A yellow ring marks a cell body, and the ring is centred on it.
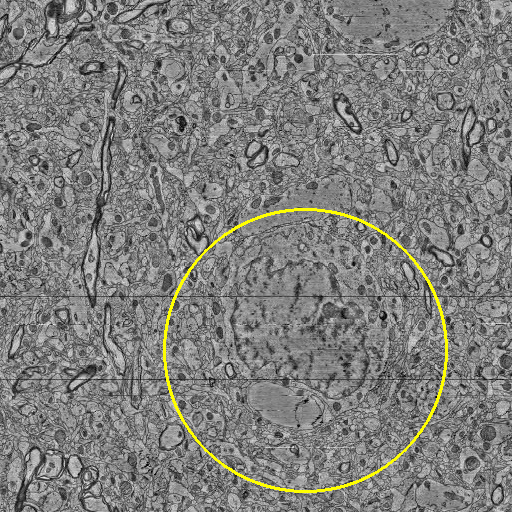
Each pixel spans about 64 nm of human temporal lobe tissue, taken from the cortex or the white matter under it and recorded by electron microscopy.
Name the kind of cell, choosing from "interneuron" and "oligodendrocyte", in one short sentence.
The marked cell body belongs to an interneuron.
